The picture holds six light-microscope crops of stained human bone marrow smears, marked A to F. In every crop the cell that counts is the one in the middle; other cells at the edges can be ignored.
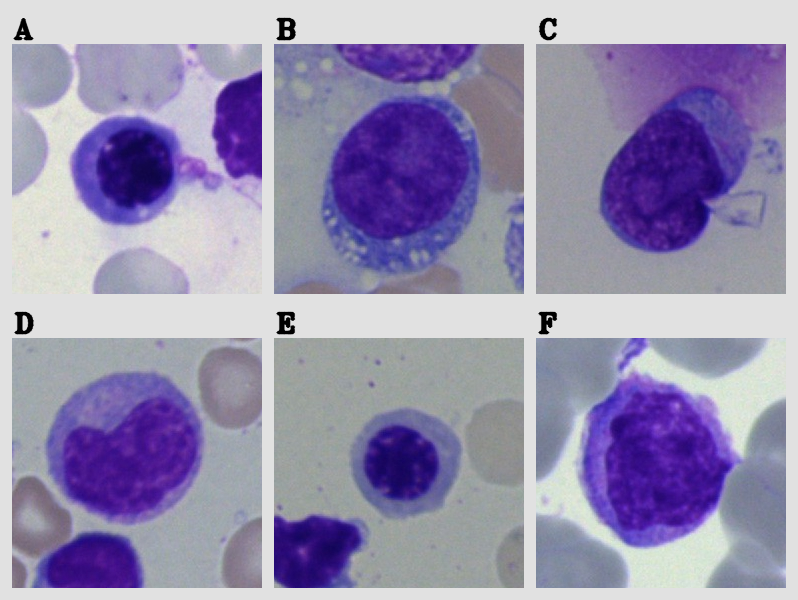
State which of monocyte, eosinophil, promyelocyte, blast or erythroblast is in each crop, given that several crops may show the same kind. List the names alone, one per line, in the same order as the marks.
erythroblast
blast
blast
monocyte
erythroblast
monocyte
